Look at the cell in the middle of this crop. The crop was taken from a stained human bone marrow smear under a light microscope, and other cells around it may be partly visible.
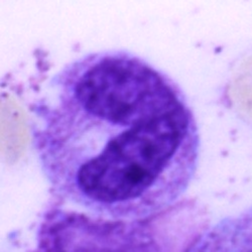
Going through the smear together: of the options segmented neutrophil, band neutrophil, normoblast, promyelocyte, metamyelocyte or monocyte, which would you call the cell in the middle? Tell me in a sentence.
The cell of interest, in the center, is a band neutrophil.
